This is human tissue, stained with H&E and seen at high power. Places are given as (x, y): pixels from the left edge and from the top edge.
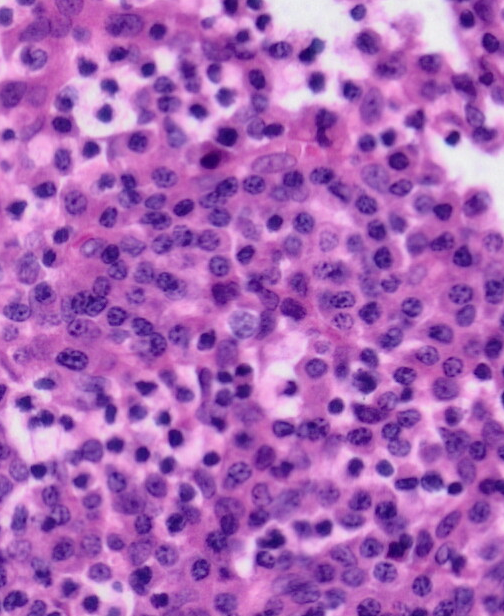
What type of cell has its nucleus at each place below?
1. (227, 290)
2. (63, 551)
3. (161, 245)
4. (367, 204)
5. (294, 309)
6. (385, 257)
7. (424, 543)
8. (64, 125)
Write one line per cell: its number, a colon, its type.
1: squamous epithelial cell
2: plasma cell
3: plasma cell
4: plasma cell
5: squamous epithelial cell
6: plasma cell
7: squamous epithelial cell
8: plasma cell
